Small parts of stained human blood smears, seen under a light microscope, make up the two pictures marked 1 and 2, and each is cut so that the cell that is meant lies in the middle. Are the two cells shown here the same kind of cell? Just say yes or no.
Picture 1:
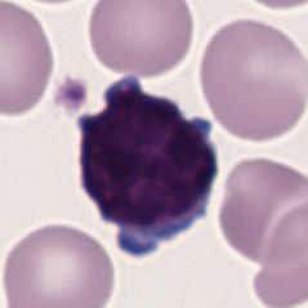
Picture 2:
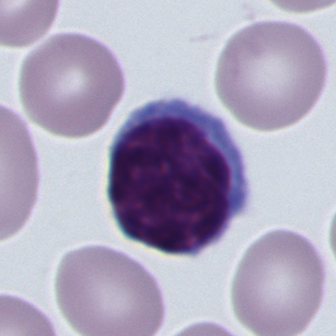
yes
